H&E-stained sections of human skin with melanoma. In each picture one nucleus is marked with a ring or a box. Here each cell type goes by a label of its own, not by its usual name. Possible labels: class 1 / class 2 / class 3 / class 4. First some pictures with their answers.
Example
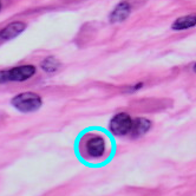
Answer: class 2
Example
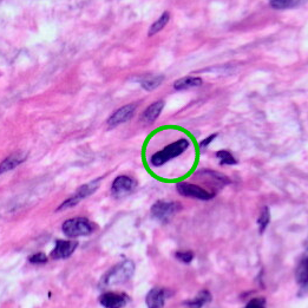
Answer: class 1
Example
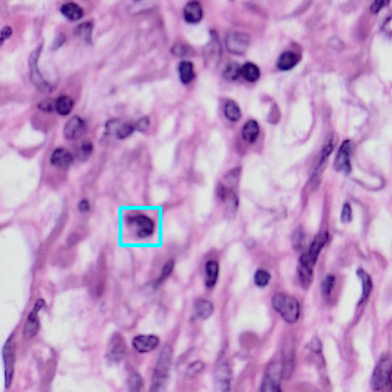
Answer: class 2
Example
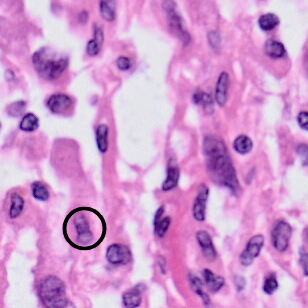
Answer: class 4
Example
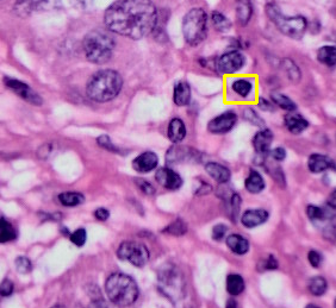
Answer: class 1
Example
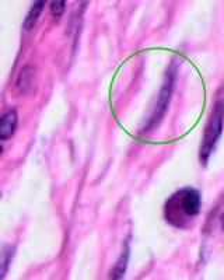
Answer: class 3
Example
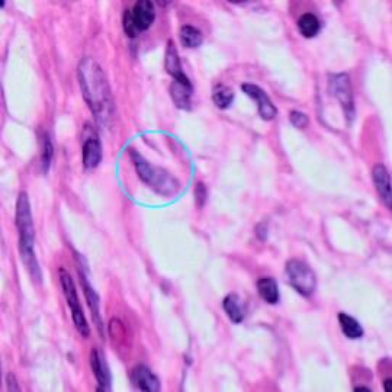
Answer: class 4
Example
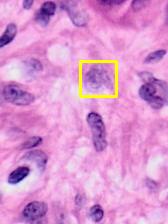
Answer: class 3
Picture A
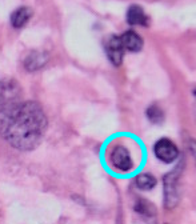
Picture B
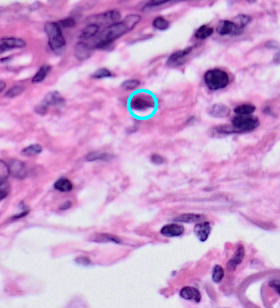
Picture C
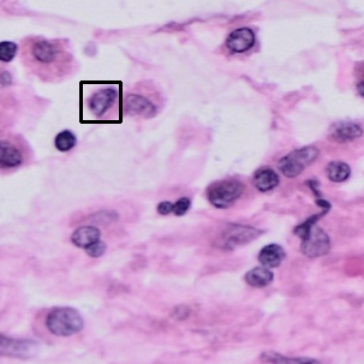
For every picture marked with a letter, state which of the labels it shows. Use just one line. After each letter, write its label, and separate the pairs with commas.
A class 1, B class 2, C class 4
